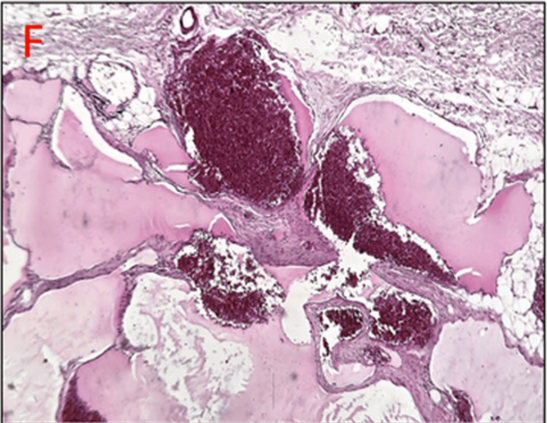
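This higher-power view shows numerous large, thin-walled vascular channels lying close together within fibrous stroma. The channels have thin walls without a thick muscular coat. They contain pale pink homogeneous material and dense dark purple masses. Between and above them lies pale, loose fibrous tissue with a few small vessels and some fat spaces.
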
